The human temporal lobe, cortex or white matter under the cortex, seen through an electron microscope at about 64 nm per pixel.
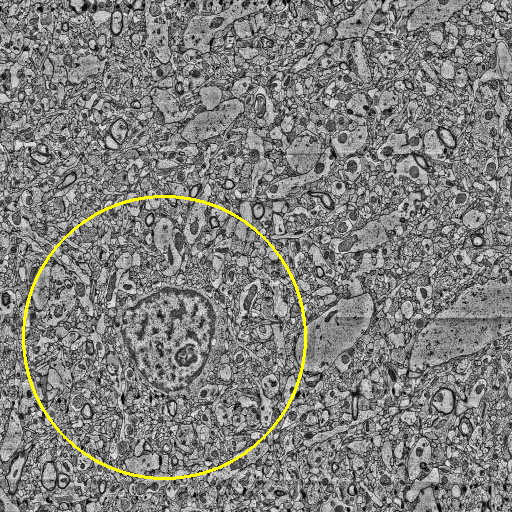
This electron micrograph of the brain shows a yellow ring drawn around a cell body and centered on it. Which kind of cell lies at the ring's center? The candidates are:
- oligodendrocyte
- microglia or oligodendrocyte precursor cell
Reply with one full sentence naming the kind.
The cell lying at the ring's center in this micrograph is an oligodendrocyte.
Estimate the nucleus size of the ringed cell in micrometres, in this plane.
Approximately 6 micrometres across, in this plane.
